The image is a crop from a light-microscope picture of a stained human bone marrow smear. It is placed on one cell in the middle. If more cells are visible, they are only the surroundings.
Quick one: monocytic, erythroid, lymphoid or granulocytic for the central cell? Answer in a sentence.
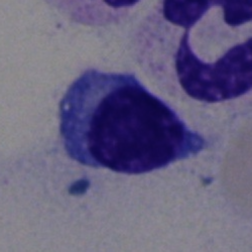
The central cell of this crop is a member of the lymphoid line of development.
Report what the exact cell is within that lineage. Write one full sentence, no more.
Classification of the middle cell gives a plasma cell.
